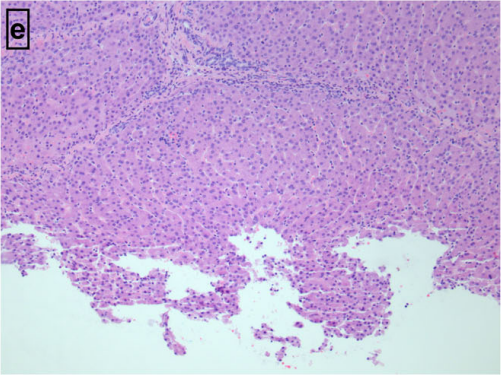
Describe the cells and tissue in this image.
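This is liver parenchyma made up of polygonal liver cells arranged in cords. The cells have pink cytoplasm and round, centrally placed dark nuclei. A thin band of connective tissue with small, densely packed dark nuclei crosses the upper part of the field, separating neighbouring lobules. The cells appear intact, with their nuclei well preserved throughout the field. The lower edge of the section is torn, with loose fragments of cells at the margin.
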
